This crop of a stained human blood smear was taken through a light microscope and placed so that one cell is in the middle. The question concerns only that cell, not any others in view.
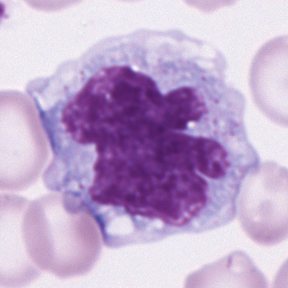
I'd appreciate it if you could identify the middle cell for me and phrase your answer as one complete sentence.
At the center of the crop sits a monocyte.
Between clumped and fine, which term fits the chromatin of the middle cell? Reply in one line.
Coarse clumps are absent, and the chromatin is fine throughout.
